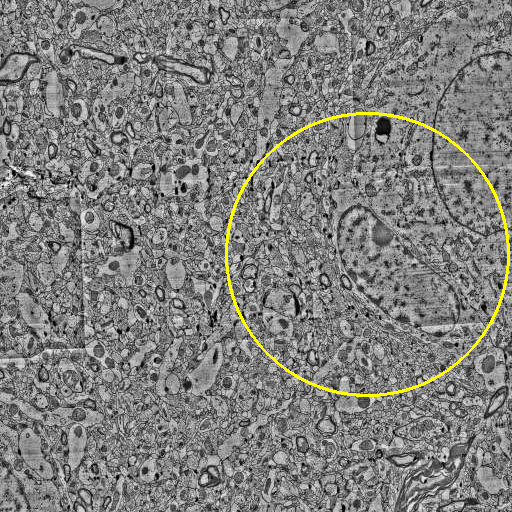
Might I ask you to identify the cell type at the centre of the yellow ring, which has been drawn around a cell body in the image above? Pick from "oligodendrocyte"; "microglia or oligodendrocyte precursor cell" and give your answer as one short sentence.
The centre of the ring falls on a microglial cell or oligodendrocyte precursor cell.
